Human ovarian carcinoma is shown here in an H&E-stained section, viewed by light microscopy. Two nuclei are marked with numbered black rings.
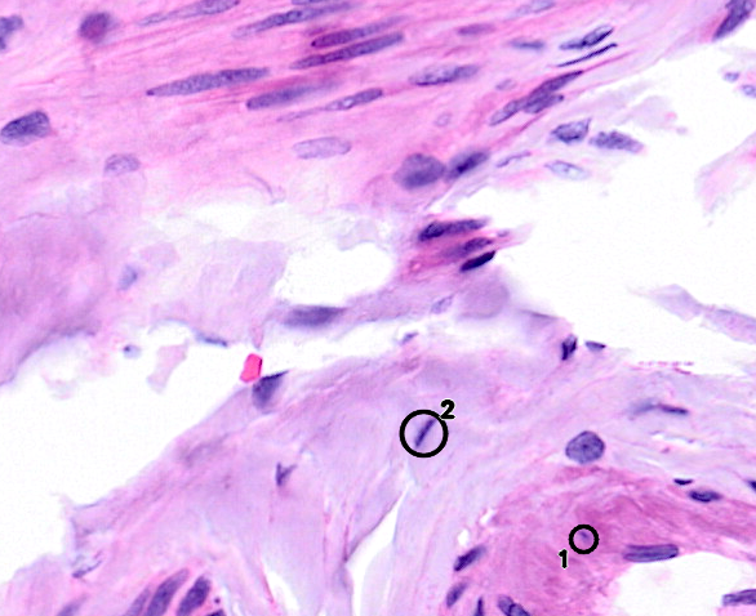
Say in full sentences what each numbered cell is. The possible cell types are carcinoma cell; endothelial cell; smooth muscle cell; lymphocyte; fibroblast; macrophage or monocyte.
Cell 1 is a smooth muscle cell. Cell 2 is a fibroblast.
